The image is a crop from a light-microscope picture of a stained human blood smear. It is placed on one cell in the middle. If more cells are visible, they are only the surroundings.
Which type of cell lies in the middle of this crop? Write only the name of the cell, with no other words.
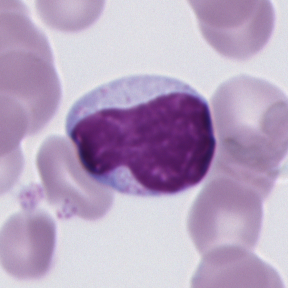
large granular lymphocyte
